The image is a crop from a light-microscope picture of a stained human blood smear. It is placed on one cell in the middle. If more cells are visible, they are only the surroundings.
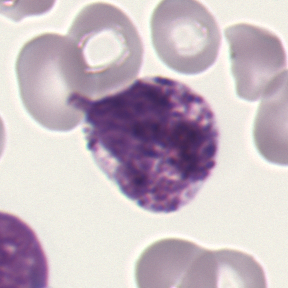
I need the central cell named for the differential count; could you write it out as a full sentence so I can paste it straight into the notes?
This crop is built around a basophil at its centre.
